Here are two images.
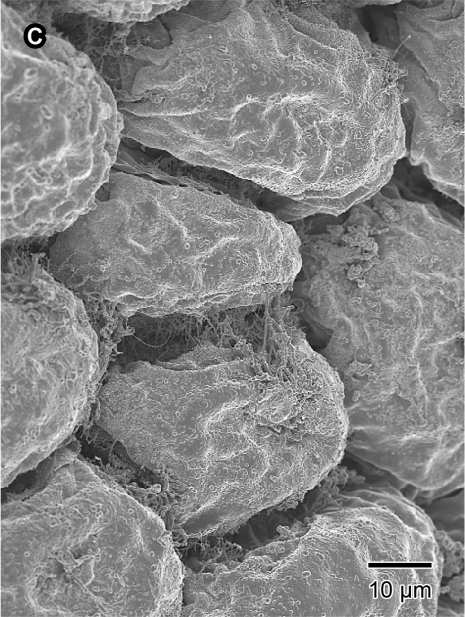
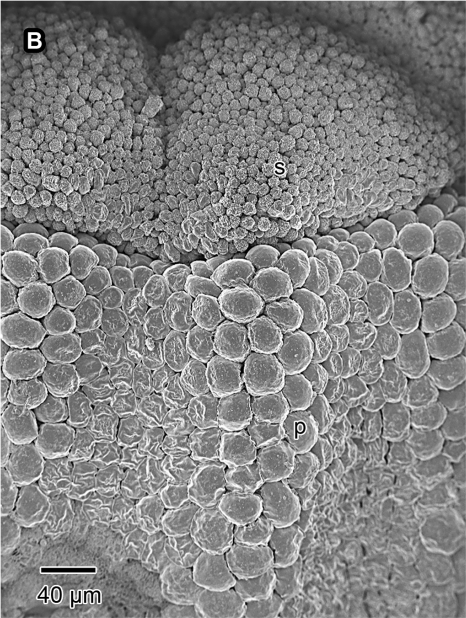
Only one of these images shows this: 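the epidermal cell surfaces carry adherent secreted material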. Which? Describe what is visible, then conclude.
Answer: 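First image: fibrous material fills the gaps between cells and coats their surfaces.
Answer: the first image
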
